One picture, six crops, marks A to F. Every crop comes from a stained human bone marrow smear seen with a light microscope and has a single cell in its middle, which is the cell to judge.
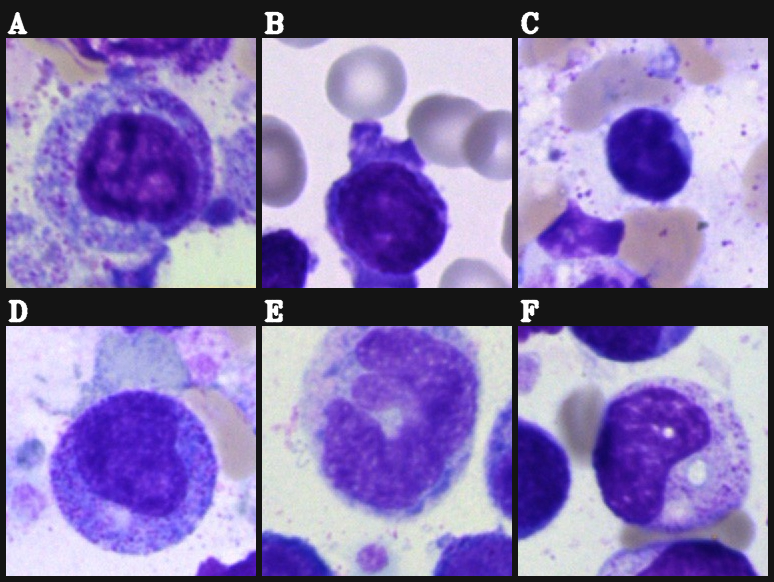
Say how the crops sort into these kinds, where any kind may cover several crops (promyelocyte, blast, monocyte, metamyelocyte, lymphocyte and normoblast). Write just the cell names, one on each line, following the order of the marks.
promyelocyte
blast
lymphocyte
promyelocyte
monocyte
metamyelocyte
